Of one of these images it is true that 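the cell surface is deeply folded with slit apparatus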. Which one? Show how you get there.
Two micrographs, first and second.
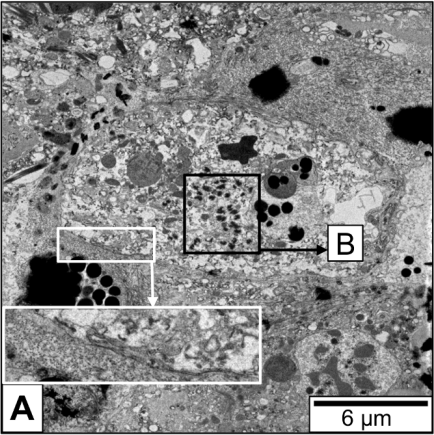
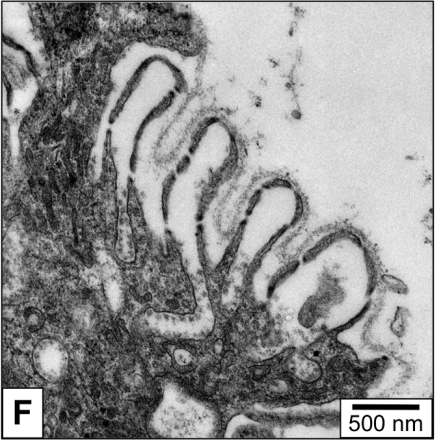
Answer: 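The second image. Second image: the cell membrane forms deep, regular finger-like folds. First image: the enlarged cell border in the inset runs fairly smooth without deep folds.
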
